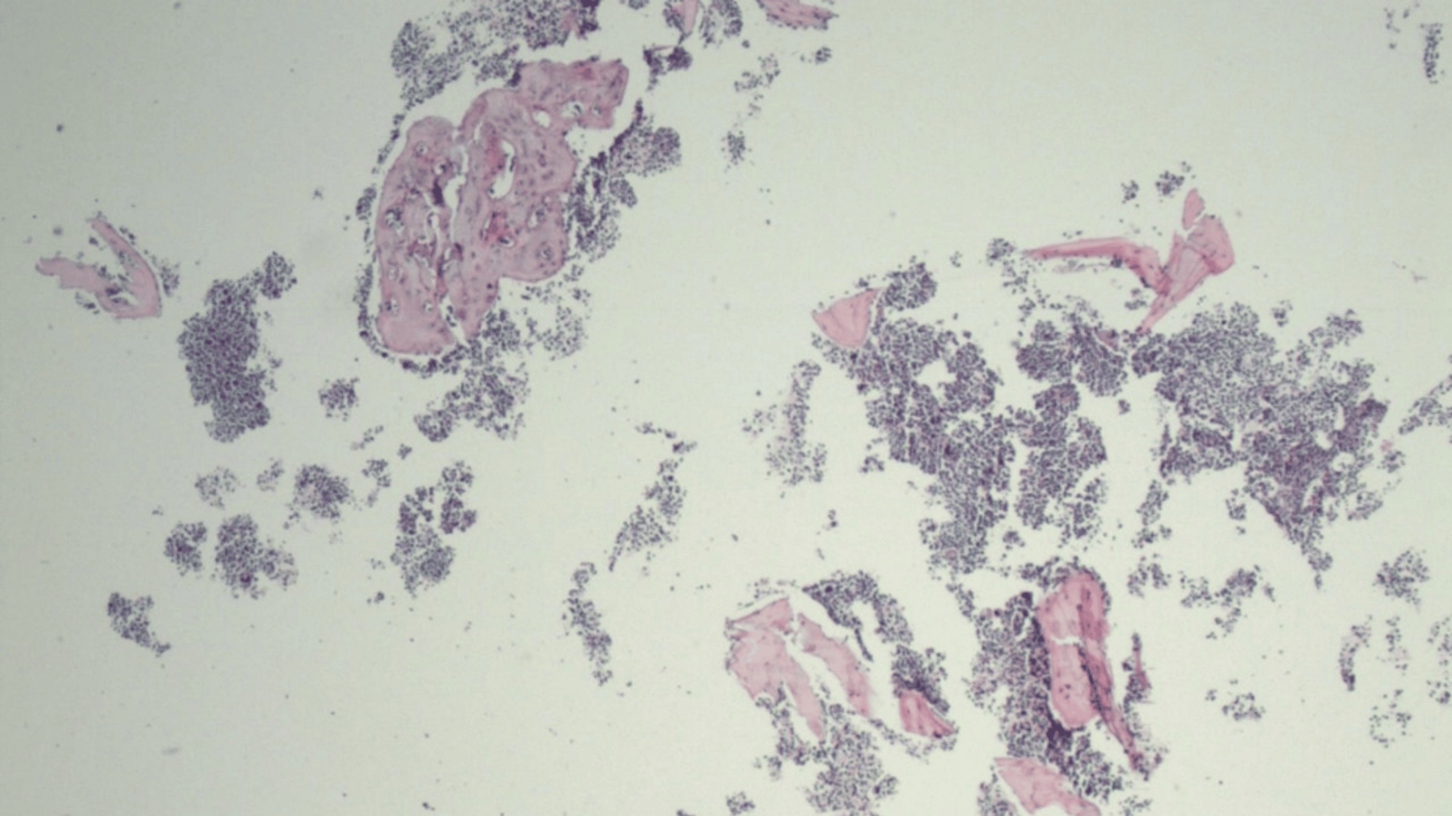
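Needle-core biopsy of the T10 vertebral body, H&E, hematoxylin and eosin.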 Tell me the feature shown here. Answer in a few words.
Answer: minute fragments of bone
